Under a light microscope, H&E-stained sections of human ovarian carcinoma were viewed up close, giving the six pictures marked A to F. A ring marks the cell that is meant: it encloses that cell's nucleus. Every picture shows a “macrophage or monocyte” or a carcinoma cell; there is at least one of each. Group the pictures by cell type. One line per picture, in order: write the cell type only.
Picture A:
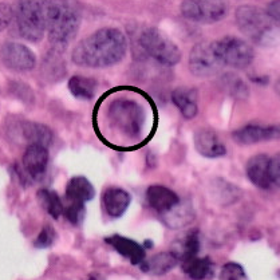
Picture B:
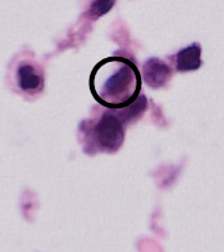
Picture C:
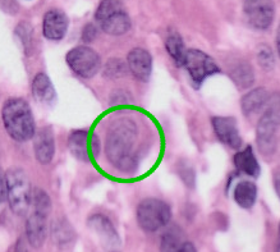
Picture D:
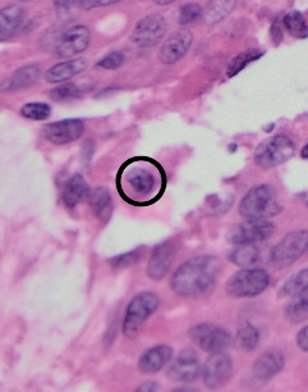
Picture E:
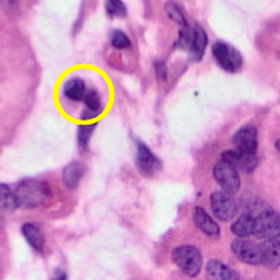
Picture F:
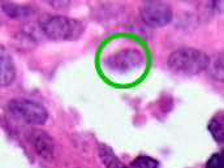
carcinoma cell
carcinoma cell
carcinoma cell
macrophage or monocyte
macrophage or monocyte
carcinoma cell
